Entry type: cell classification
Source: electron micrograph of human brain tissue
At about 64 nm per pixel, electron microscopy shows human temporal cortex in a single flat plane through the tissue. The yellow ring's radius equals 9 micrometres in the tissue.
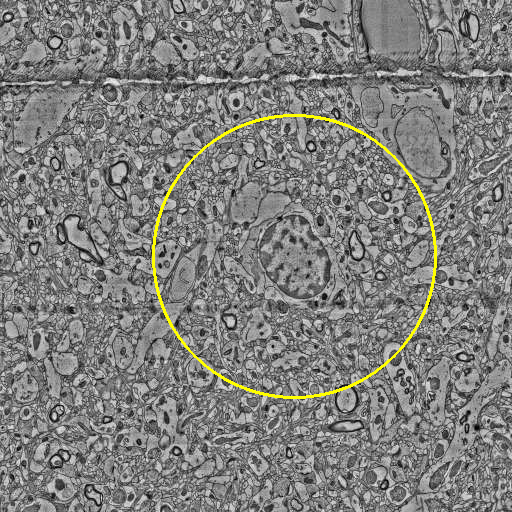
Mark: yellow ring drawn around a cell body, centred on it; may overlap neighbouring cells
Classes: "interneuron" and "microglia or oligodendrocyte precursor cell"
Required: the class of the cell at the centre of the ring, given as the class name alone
microglia or oligodendrocyte precursor cell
